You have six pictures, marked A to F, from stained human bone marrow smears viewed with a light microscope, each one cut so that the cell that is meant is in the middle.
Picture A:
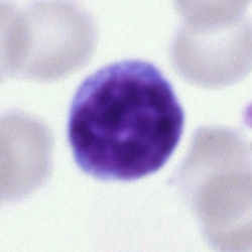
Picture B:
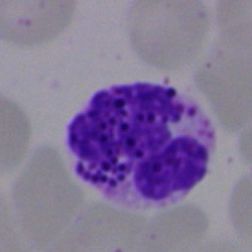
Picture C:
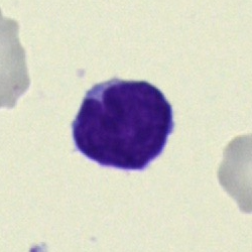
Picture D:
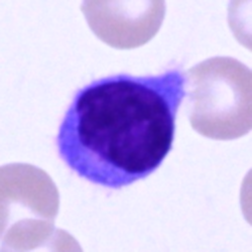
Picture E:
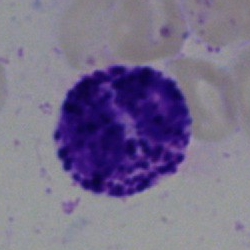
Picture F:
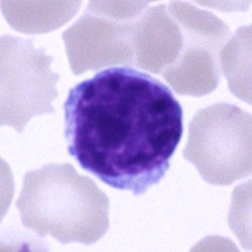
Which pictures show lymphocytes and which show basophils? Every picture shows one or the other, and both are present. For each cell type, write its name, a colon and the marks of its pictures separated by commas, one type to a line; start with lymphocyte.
lymphocyte: A, C, D, F
basophil: B, E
